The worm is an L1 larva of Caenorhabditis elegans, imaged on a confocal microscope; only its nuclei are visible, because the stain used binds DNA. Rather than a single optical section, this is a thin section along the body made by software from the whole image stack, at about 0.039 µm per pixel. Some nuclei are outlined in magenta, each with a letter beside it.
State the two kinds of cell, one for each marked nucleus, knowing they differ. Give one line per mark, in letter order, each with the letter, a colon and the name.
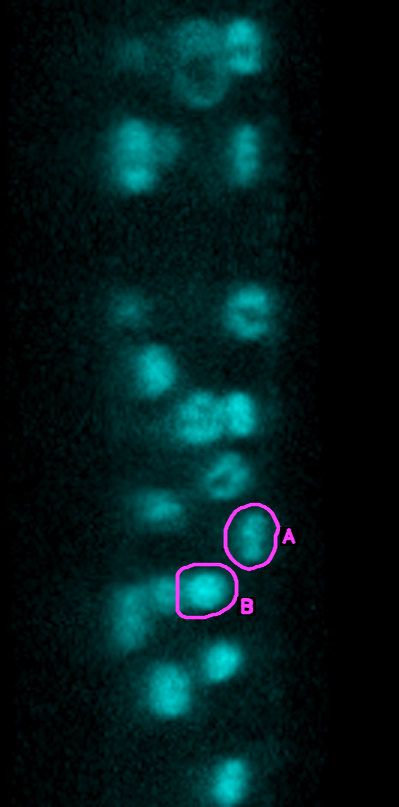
A: P cell (ventral epidermal blast cell)
B: body wall muscle cell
